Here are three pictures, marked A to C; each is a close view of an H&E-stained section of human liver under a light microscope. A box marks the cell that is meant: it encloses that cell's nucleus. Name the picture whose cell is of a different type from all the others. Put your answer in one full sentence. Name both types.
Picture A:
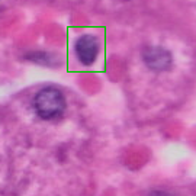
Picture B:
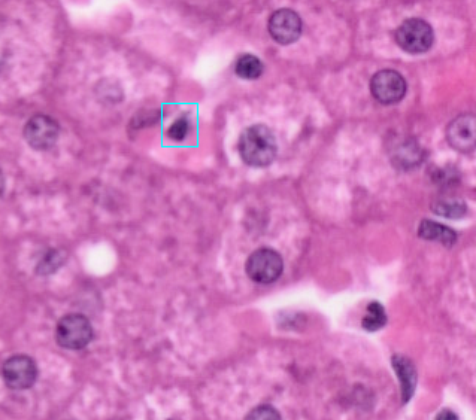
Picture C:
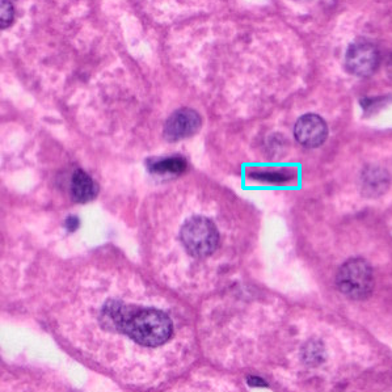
Picture C differs, because its cell is a “fibroblast or stellate cell” and the rest are lymphocytes.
